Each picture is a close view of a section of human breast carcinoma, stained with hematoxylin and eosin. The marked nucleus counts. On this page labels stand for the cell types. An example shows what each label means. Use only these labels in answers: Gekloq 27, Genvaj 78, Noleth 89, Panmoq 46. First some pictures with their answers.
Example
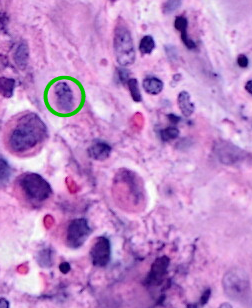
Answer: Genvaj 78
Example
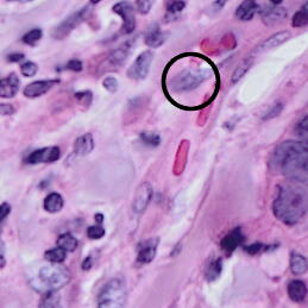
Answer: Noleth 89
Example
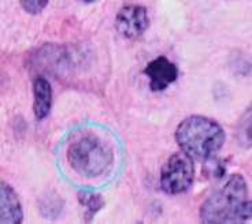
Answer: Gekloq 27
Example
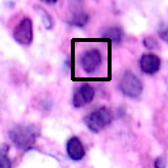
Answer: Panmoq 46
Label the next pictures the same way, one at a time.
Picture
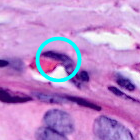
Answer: Noleth 89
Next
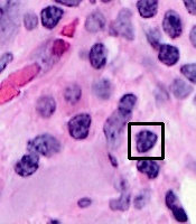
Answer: Panmoq 46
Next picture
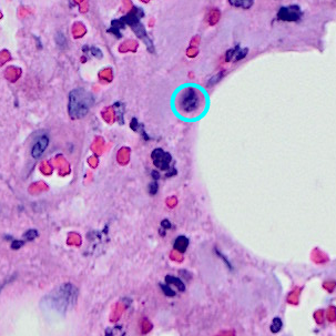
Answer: Genvaj 78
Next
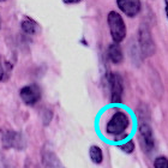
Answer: Panmoq 46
